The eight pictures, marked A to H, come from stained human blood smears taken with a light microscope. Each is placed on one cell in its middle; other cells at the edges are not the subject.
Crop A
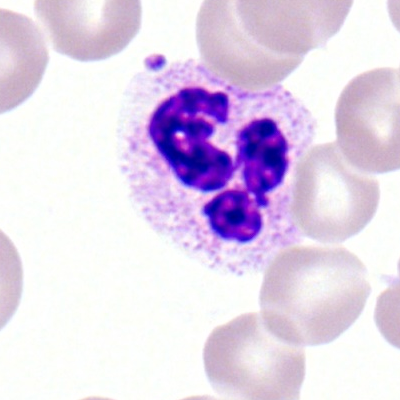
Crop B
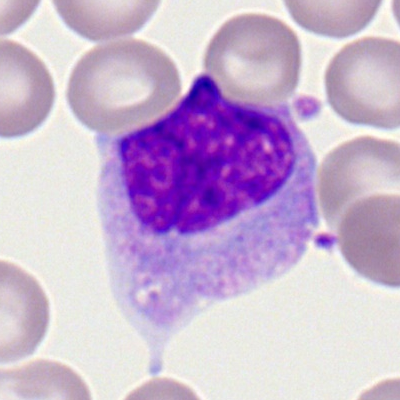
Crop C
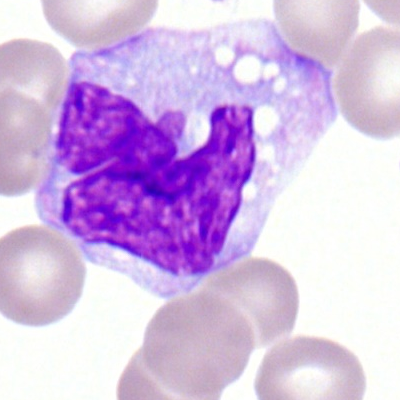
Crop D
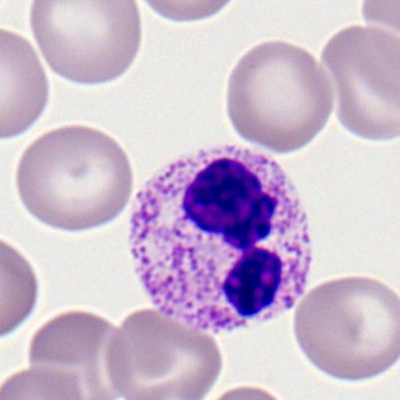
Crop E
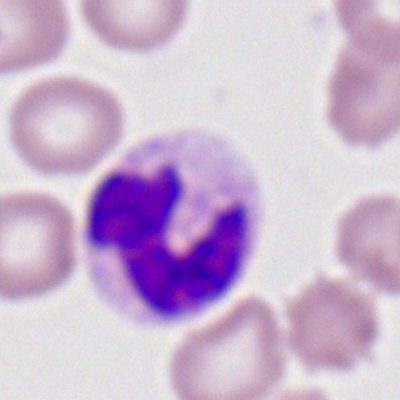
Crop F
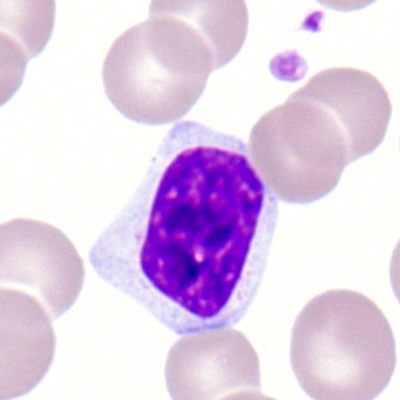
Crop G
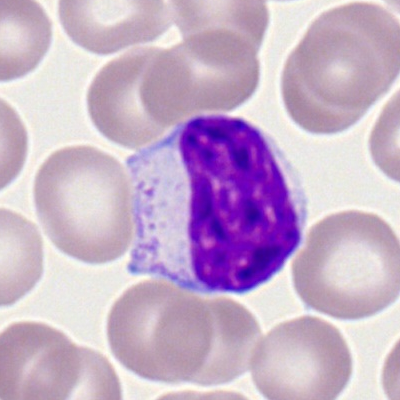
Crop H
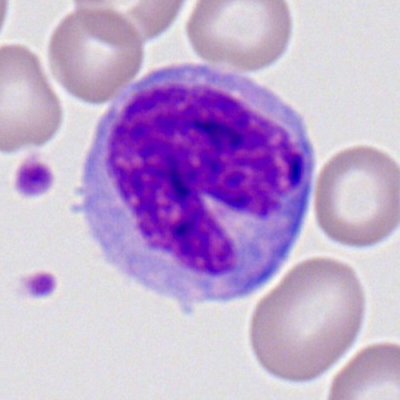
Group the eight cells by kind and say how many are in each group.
segmented neutrophil: 3
monocyte: 3
lymphocyte: 2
